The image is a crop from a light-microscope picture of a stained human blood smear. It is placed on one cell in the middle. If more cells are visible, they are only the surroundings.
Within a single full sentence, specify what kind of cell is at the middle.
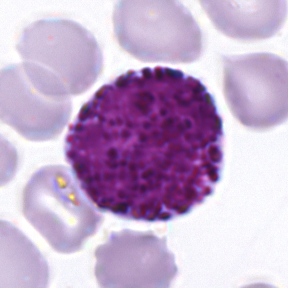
The cell centered in this field of view is a basophil.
